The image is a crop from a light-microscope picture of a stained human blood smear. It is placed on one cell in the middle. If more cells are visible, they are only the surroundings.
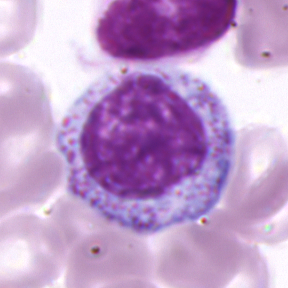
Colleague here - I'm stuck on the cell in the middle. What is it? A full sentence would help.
The middle of this crop holds a myelocyte.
